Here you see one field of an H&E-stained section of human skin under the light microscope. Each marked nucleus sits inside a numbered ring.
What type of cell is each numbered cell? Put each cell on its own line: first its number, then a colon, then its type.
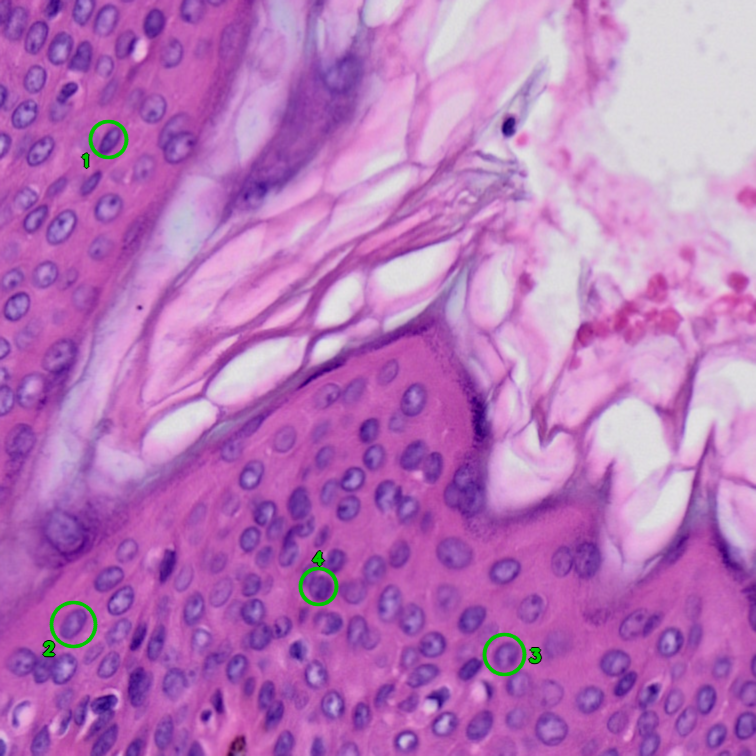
1: suprabasal keratinocyte
2: suprabasal keratinocyte
3: suprabasal keratinocyte
4: basal keratinocyte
